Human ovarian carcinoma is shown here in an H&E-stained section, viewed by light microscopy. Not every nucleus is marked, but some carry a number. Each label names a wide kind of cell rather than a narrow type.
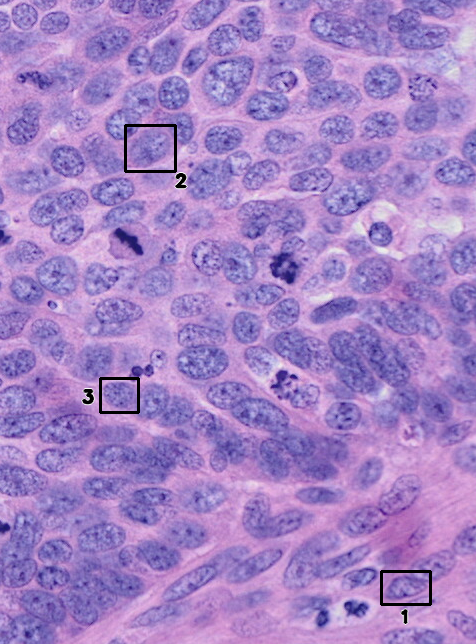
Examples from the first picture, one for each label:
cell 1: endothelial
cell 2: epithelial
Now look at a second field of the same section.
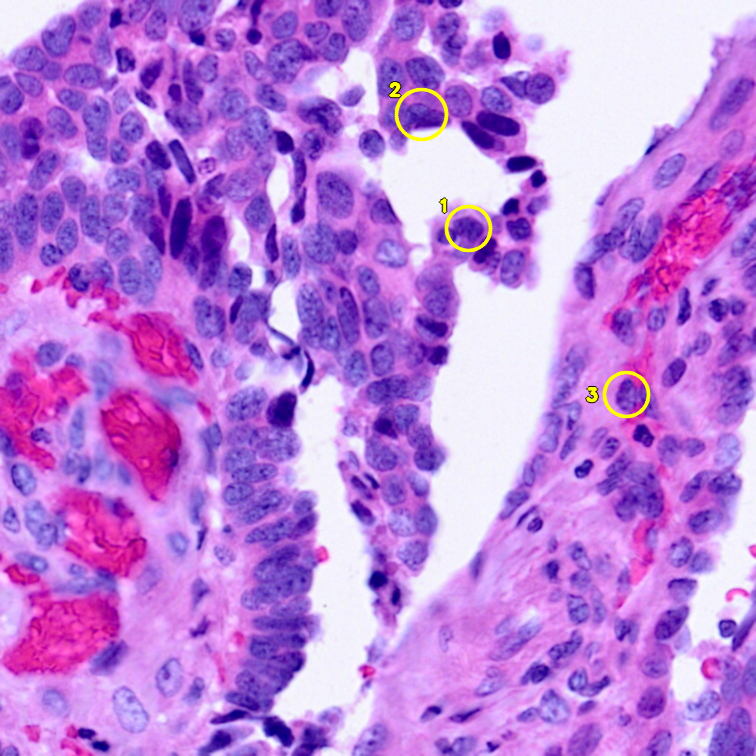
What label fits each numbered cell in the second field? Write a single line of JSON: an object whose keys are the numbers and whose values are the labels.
{"1": "epithelial", "2": "epithelial", "3": "endothelial"}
